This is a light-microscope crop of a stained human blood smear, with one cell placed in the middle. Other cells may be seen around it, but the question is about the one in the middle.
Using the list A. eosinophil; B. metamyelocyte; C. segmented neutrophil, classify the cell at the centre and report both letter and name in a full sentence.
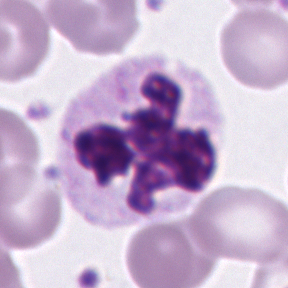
Option C is correct, and the cell in the centre is a segmented neutrophil.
